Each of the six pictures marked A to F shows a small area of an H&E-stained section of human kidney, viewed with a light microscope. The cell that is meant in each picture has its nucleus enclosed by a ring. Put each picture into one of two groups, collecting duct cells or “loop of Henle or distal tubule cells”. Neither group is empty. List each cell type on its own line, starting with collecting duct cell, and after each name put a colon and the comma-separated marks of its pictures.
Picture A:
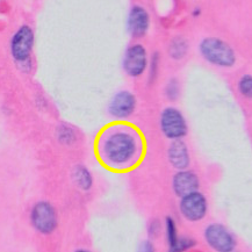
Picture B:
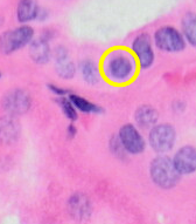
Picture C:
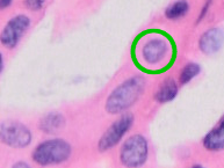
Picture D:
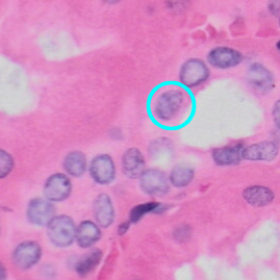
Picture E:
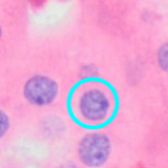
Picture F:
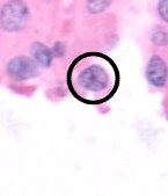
collecting duct cell: B, C, D
loop of Henle or distal tubule cell: A, E, F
